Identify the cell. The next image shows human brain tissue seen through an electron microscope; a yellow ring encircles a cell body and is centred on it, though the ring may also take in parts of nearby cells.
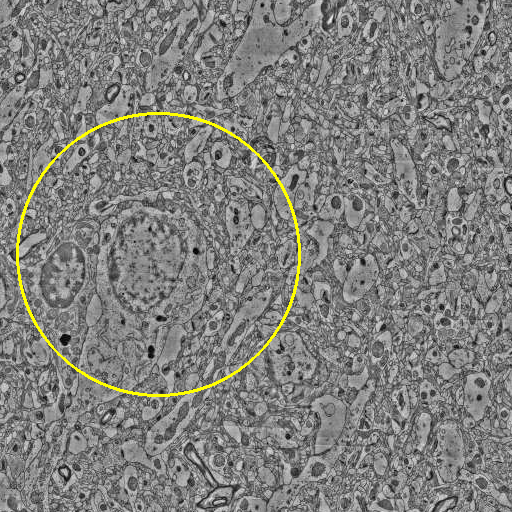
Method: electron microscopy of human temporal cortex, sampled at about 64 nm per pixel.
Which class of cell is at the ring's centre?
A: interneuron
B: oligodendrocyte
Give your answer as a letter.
A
